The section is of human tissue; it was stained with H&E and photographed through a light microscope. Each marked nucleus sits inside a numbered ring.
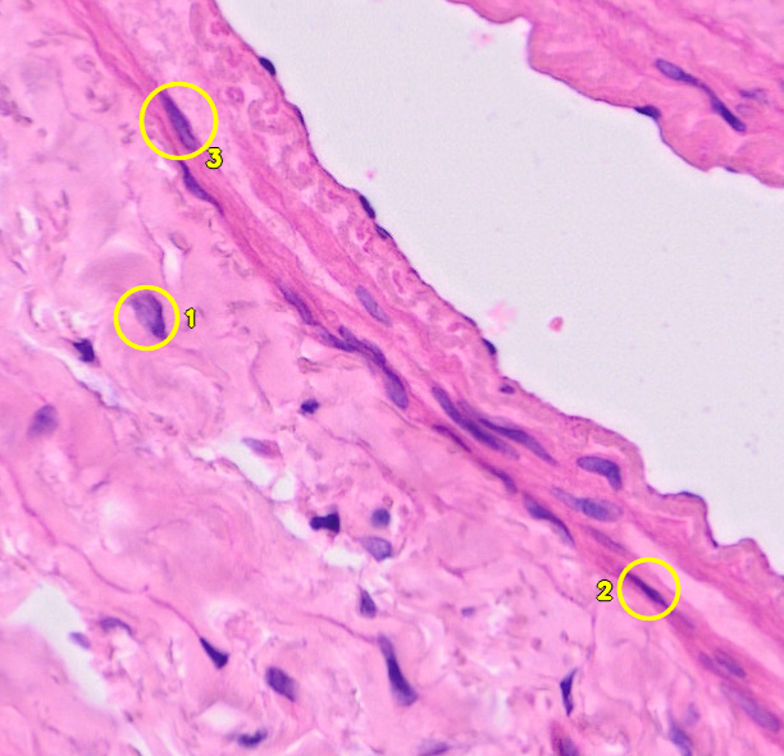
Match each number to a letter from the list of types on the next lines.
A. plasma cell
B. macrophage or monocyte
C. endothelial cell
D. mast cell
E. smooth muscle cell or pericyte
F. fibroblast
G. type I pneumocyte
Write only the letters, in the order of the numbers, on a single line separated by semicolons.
F; E; E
